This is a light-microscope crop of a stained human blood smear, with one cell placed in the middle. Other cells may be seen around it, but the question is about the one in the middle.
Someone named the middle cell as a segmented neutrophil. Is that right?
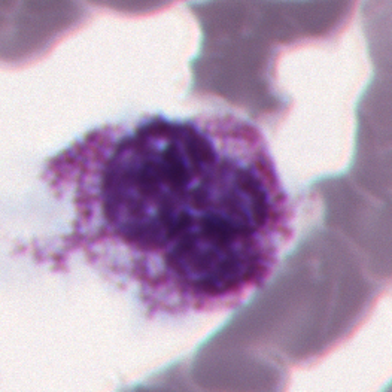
yes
